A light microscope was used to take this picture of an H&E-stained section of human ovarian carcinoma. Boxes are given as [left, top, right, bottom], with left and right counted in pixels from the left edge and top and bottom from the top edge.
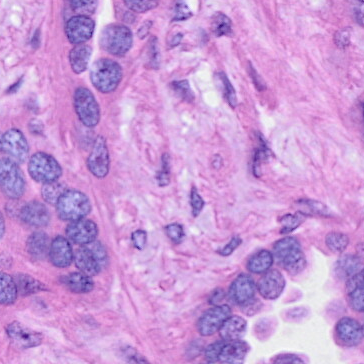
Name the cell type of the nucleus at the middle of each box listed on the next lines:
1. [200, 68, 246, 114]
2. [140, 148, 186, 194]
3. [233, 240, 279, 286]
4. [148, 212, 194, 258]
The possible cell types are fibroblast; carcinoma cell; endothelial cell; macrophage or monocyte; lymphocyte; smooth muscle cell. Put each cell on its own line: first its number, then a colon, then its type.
1: fibroblast
2: fibroblast
3: carcinoma cell
4: fibroblast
